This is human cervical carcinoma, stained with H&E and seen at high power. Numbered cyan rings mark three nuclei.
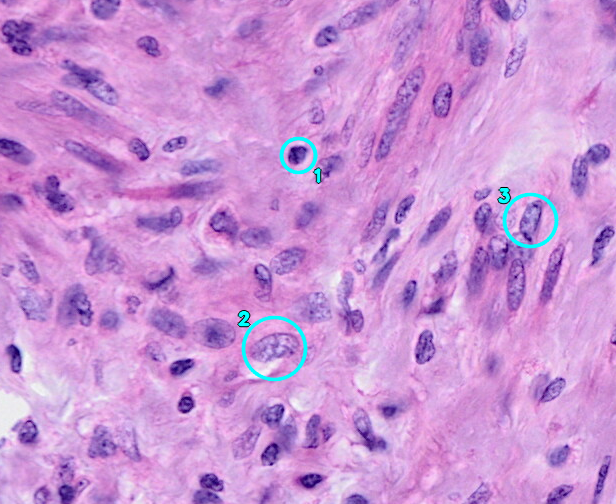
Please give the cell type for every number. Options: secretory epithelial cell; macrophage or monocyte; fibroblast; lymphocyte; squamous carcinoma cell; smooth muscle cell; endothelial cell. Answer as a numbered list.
1. lymphocyte
2. endothelial cell
3. endothelial cell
